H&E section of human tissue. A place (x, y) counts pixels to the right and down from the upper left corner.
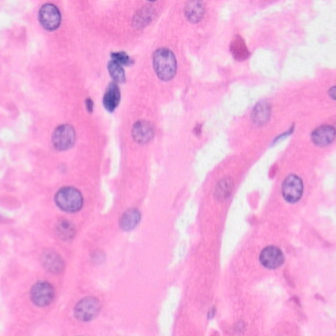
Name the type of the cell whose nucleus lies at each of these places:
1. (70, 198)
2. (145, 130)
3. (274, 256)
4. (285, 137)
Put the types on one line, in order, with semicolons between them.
proximal tubule cell; proximal tubule cell; proximal tubule cell; endothelial cell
